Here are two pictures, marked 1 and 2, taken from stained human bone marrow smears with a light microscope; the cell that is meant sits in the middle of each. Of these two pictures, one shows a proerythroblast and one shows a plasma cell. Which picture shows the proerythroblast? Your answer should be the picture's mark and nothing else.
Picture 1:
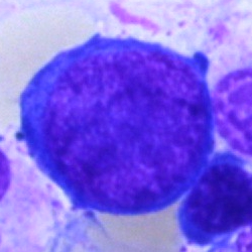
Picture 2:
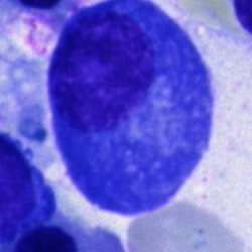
1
